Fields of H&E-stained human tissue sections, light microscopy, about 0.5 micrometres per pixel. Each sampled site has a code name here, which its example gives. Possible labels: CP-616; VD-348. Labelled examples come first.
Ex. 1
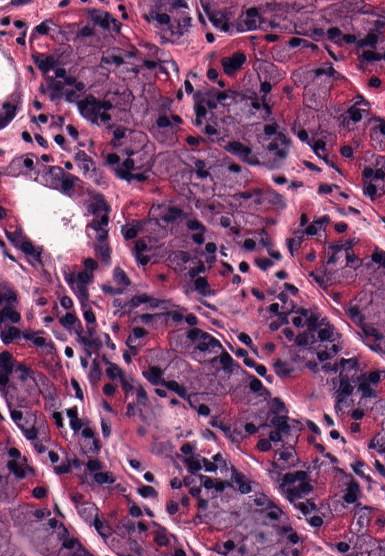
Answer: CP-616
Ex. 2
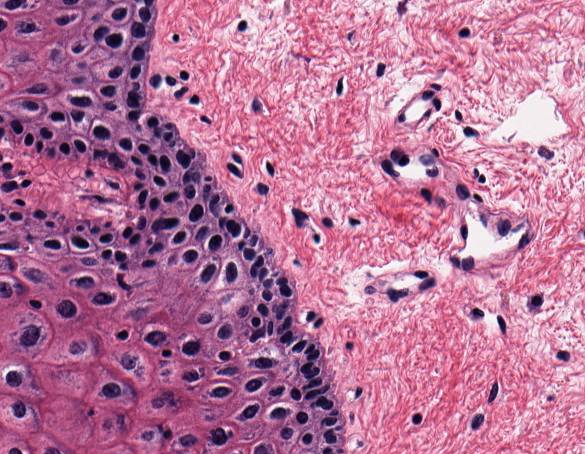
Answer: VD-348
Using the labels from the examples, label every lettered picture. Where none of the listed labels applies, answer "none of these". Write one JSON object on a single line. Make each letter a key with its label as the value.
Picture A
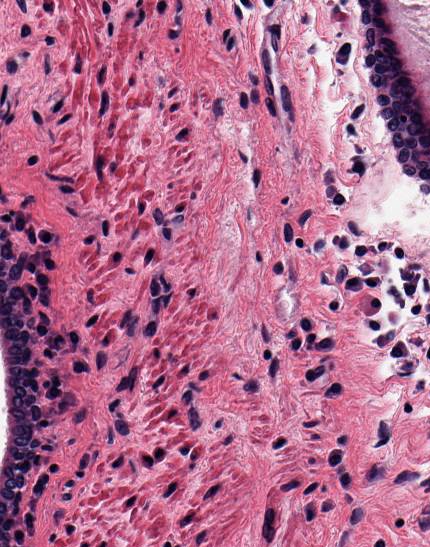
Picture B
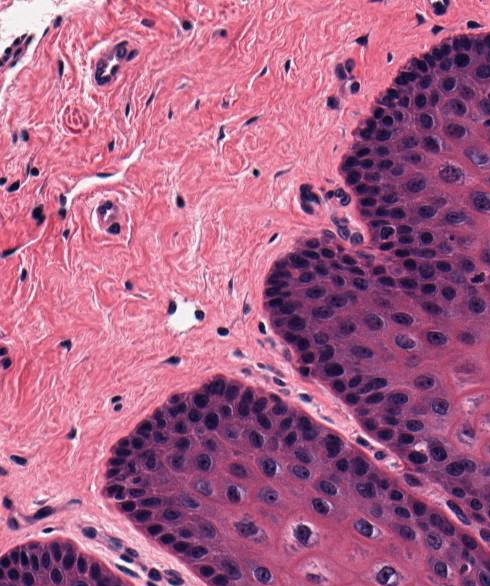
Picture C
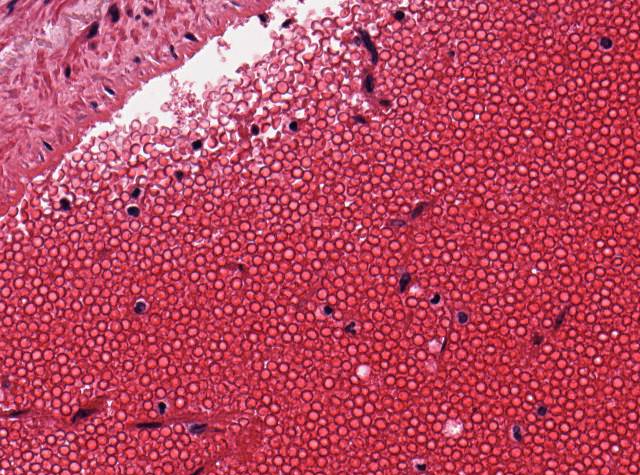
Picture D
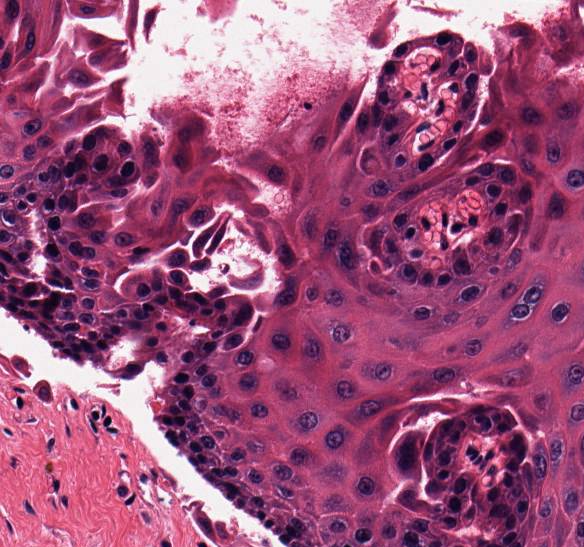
{"A": "VD-348", "B": "VD-348", "C": "none of these", "D": "VD-348"}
